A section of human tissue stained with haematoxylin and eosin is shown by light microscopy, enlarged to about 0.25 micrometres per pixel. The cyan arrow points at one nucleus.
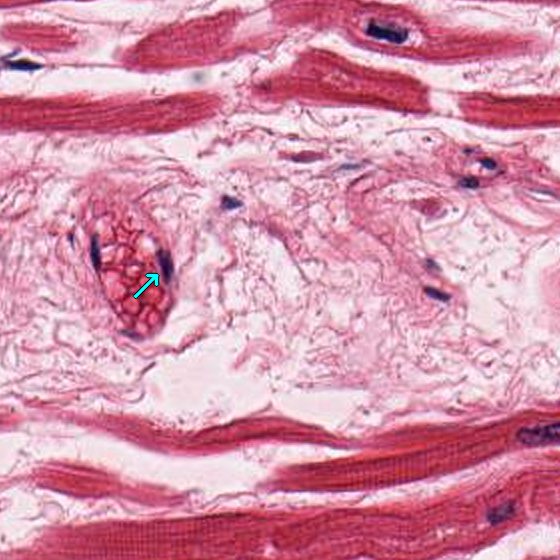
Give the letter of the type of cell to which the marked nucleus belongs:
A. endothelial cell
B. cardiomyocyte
A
